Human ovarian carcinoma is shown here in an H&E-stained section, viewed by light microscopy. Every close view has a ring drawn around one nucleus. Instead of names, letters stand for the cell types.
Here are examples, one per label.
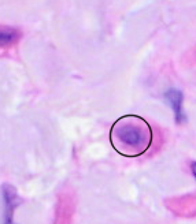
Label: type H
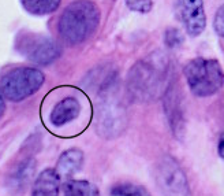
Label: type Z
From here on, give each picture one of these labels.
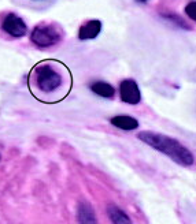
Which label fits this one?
type Z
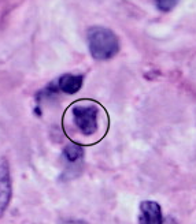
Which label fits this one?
type Z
